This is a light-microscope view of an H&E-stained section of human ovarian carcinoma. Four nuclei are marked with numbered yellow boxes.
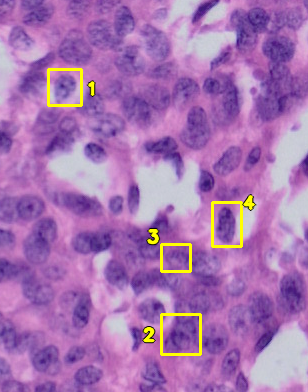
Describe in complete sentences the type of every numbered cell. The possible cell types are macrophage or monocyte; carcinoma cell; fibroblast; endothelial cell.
Cells 1 and 4 are macrophages or monocytes. Cells 2 and 3 are carcinoma cells.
